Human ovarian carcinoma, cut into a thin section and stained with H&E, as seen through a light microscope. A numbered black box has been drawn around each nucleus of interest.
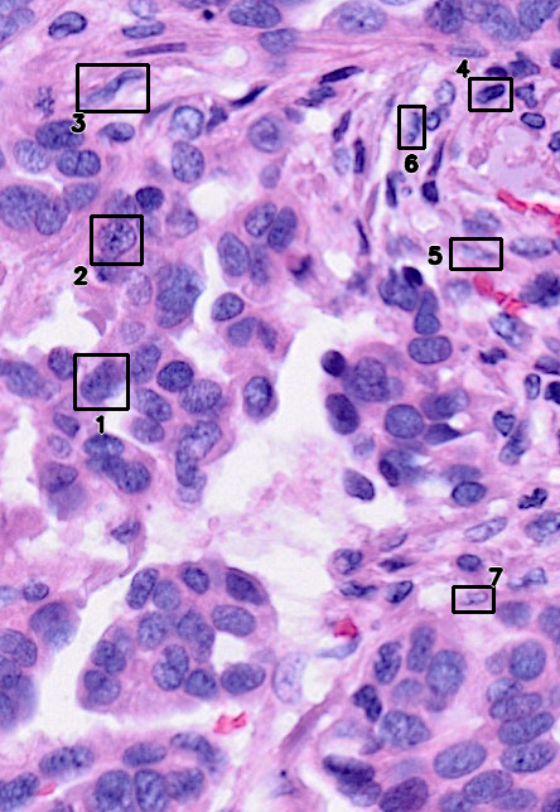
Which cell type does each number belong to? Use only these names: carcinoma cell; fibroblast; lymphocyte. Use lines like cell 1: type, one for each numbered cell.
cell 1: carcinoma cell
cell 2: carcinoma cell
cell 3: fibroblast
cell 4: lymphocyte
cell 5: fibroblast
cell 6: fibroblast
cell 7: fibroblast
